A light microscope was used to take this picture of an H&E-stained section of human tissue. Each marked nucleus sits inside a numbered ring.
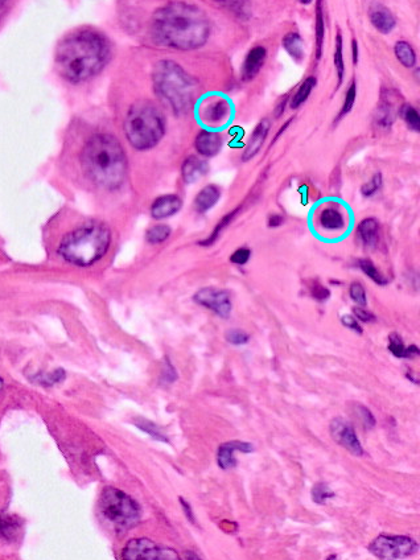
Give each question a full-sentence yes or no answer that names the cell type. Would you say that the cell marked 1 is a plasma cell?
Yes, it checks out; the cell labelled 1 is a plasma cell.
